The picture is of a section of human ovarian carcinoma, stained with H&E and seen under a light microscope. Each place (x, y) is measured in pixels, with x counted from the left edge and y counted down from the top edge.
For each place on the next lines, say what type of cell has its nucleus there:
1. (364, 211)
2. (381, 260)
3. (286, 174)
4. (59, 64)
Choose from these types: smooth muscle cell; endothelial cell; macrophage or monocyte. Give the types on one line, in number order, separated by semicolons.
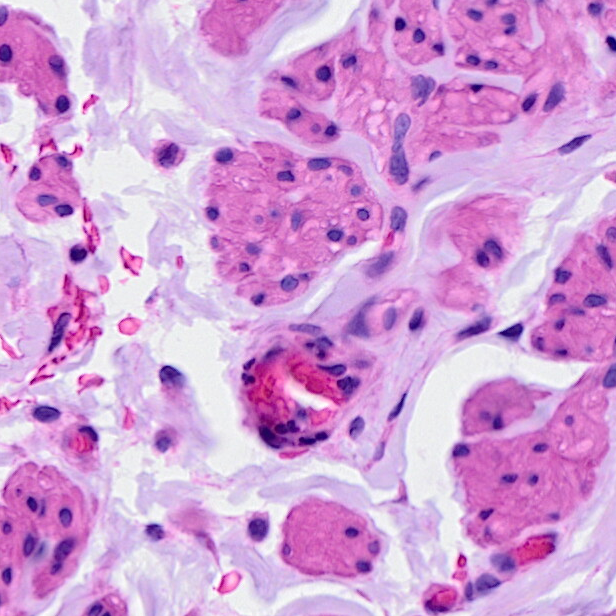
smooth muscle cell; endothelial cell; smooth muscle cell; smooth muscle cell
